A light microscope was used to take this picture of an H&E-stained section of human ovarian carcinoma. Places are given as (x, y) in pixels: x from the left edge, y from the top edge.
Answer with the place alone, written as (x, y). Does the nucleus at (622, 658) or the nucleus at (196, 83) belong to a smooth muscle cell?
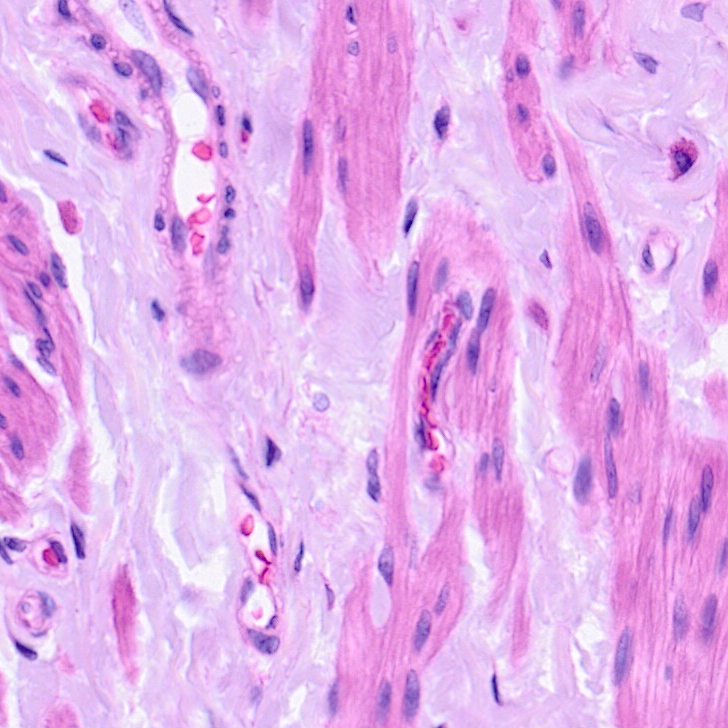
(622, 658)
